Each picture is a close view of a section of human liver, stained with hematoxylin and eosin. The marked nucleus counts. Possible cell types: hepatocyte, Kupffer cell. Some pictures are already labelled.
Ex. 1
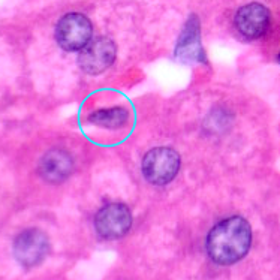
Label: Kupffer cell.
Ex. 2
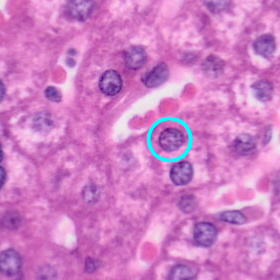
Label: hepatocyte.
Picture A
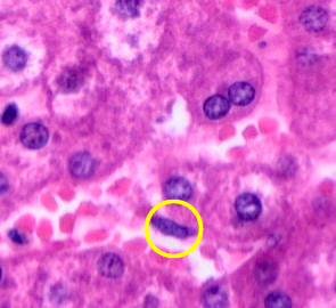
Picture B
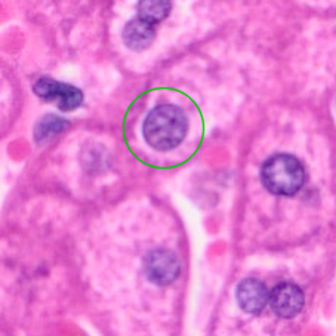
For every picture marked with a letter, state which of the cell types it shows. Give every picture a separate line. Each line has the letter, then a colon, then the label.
A: Kupffer cell.
B: hepatocyte.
